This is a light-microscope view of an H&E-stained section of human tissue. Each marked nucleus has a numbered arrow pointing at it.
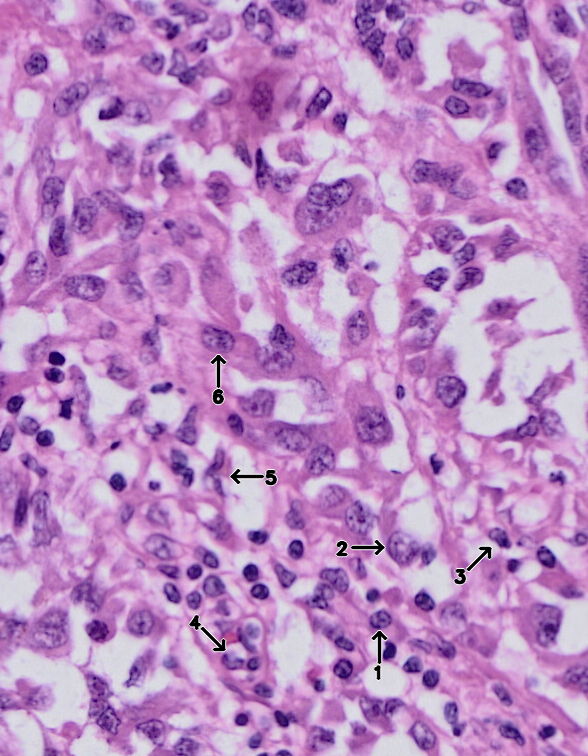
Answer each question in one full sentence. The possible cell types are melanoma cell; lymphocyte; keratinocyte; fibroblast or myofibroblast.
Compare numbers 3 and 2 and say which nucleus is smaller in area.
It is nucleus 3; nucleus 2 has about 2.5 times its area.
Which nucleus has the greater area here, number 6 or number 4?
Of the two, number 6 is bigger and takes up about 2 times the area of number 4.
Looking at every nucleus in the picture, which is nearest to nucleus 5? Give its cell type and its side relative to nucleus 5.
The nearest one is a lymphocyte, found to the left of nucleus 5.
